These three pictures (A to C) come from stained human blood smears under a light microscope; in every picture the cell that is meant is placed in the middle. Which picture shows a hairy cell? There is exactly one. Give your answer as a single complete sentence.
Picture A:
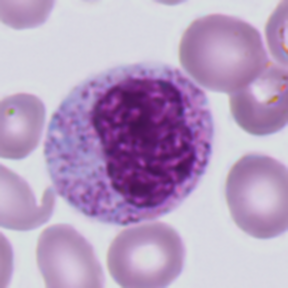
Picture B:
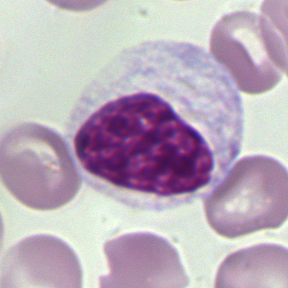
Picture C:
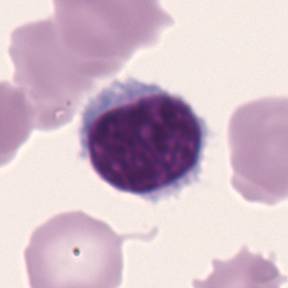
The hairy cell is the one in picture C.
